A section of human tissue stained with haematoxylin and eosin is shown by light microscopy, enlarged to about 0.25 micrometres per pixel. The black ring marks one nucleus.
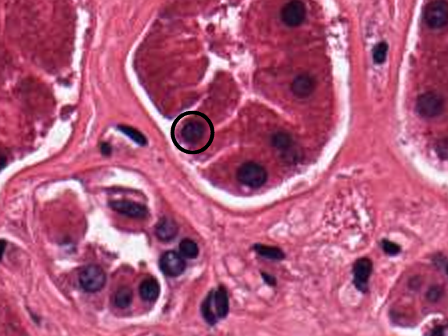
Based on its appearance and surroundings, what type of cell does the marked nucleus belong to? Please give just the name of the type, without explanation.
proximal tubule cell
